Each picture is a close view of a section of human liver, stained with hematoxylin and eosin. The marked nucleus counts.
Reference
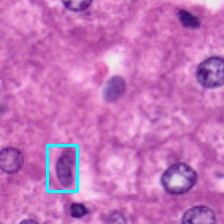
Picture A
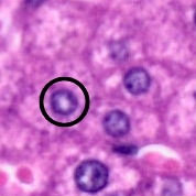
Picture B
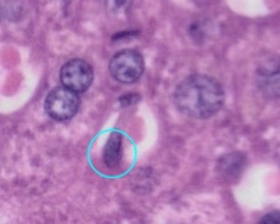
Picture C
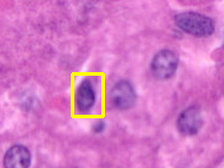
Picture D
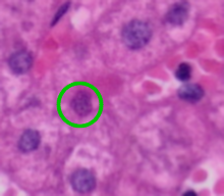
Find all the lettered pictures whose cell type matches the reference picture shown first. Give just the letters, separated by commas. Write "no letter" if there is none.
B, C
